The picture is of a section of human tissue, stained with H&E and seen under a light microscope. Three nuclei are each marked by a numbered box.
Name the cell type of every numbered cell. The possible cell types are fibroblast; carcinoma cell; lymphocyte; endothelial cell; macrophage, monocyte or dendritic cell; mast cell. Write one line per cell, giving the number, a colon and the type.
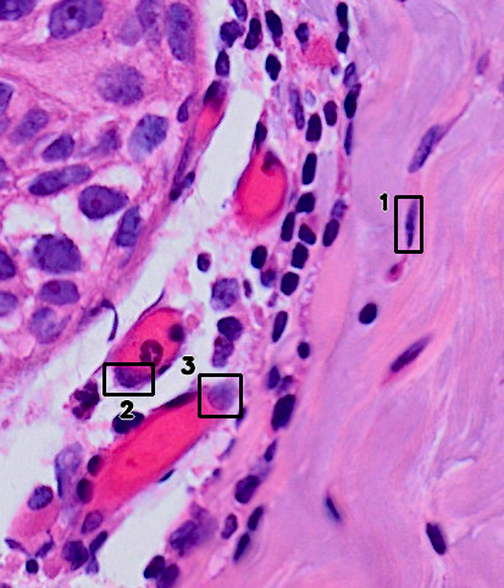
1: fibroblast
2: endothelial cell
3: endothelial cell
